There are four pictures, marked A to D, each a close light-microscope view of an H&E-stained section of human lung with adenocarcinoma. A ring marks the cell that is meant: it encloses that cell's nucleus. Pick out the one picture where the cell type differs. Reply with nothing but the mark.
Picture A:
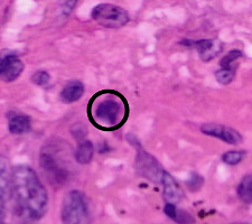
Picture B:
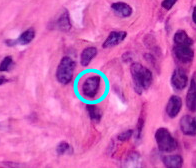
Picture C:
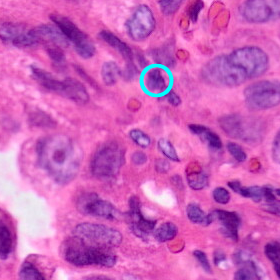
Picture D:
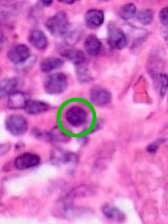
C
